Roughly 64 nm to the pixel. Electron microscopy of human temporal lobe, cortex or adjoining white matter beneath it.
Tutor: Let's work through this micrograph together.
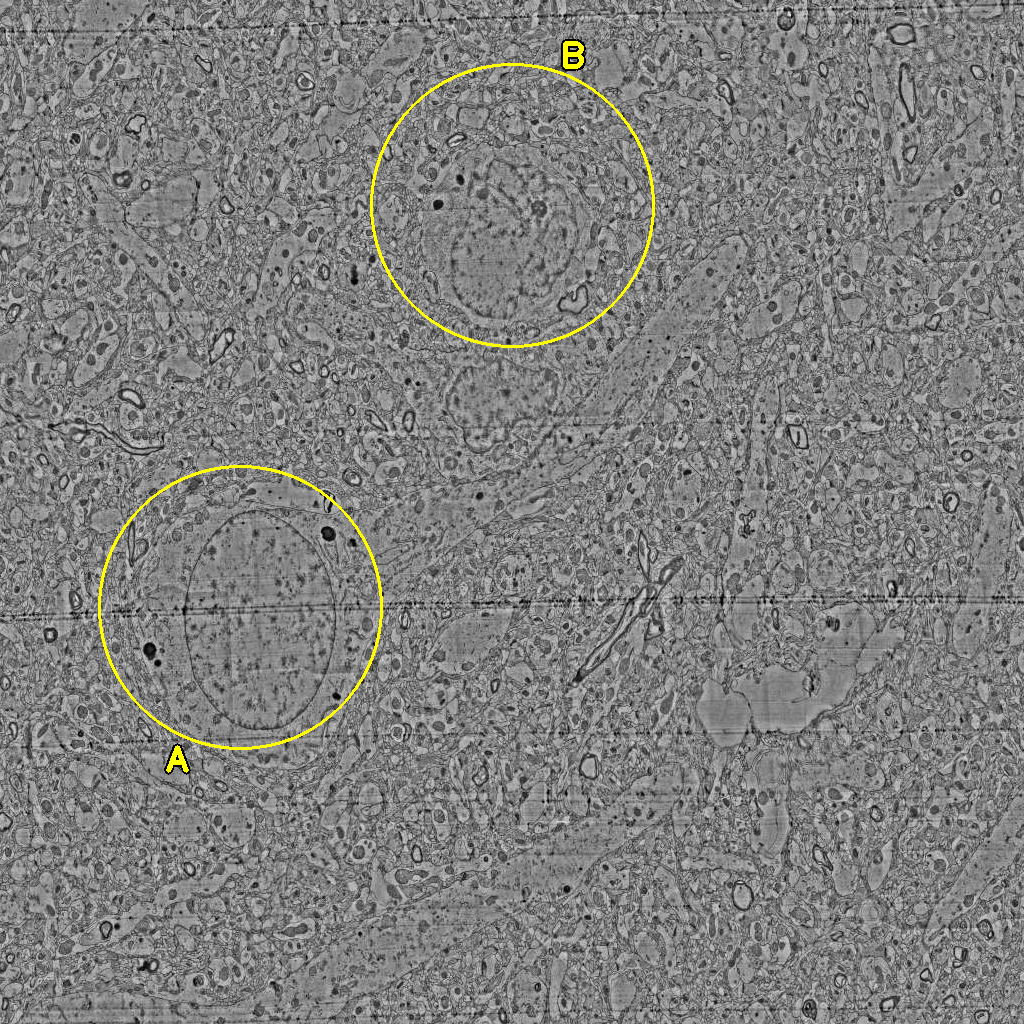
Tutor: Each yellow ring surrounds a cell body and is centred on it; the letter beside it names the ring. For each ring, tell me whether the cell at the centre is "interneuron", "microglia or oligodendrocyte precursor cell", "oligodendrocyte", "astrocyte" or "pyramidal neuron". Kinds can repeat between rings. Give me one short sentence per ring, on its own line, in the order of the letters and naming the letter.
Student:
The ring labelled A is centred on a pyramidal neuron.
The ring labelled B is centred on an interneuron.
